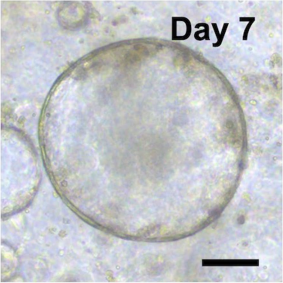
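This phase contrast image shows a large, round, hollow organoid embedded in a granular matrix. The organoid is bounded by a thin, smooth, continuous wall that appears as a dark refractile rim. Its lumen is translucent, with some faint granular material toward the centre. Individual cells within the wall cannot be told apart at this magnification. Smaller round hollow structures and scattered debris lie at the edges of the field, one partly visible at the left.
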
